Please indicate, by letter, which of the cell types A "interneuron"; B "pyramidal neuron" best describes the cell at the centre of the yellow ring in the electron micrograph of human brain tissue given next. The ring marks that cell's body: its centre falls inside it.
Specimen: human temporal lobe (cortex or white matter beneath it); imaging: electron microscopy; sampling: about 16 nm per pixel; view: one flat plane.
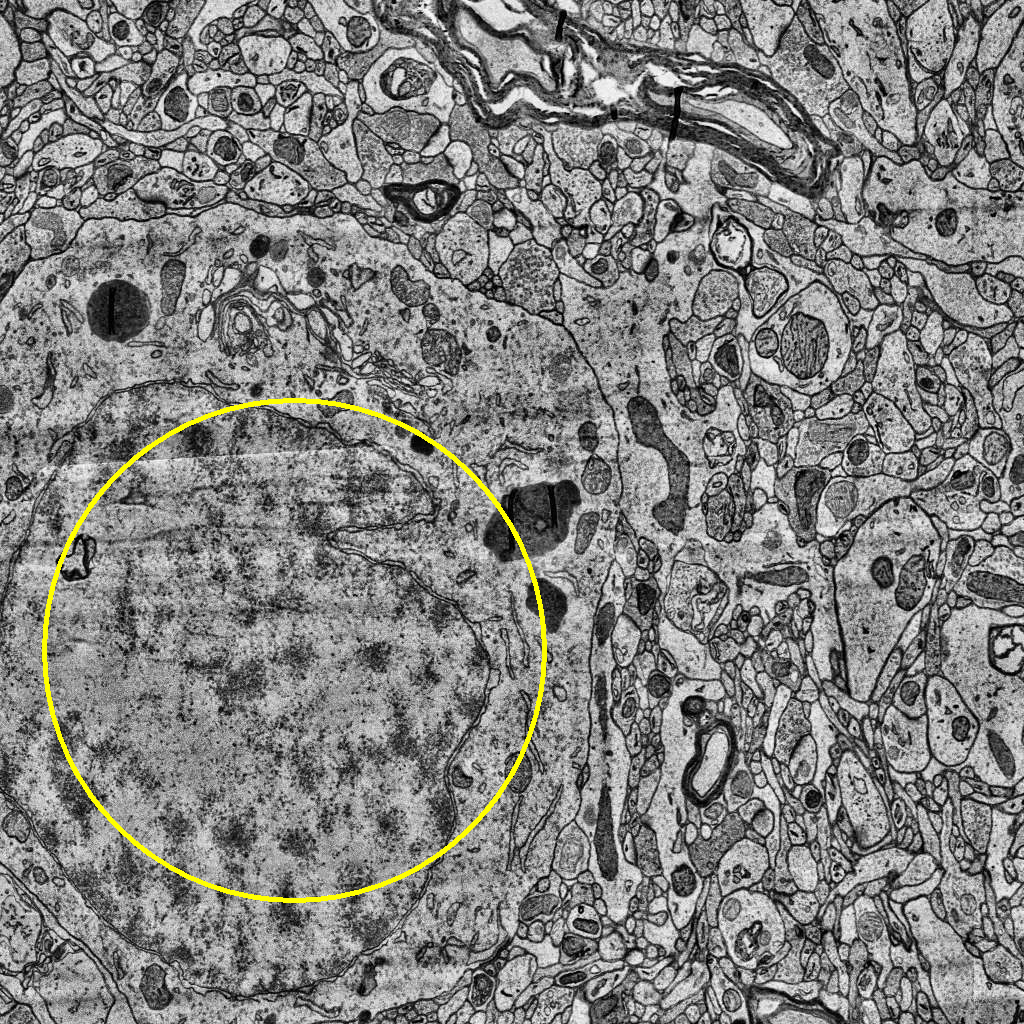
A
